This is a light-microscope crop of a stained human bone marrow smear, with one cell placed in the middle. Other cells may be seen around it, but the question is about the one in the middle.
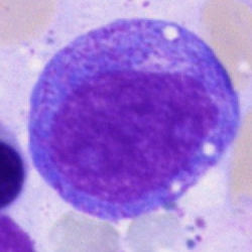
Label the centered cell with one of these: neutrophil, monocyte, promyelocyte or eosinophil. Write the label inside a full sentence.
The cell in the middle of the field of view is a promyelocyte.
